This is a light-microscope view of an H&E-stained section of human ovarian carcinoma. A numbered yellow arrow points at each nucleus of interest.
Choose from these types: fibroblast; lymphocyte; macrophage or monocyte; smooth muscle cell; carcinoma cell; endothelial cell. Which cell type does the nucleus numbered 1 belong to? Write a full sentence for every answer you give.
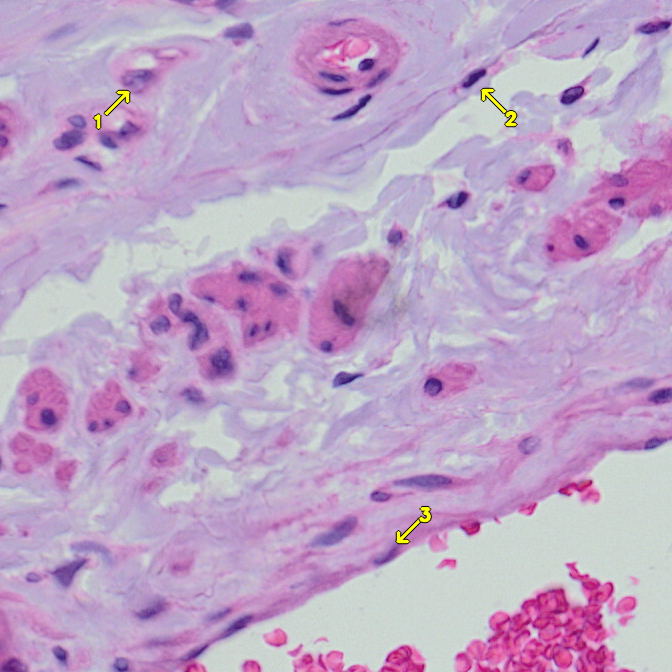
The cell referred to as 1 is an endothelial cell.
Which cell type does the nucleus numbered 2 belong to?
The nucleus with number 2 is that of a fibroblast.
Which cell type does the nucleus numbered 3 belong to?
Classified as an endothelial cell is the cell with the number 3.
